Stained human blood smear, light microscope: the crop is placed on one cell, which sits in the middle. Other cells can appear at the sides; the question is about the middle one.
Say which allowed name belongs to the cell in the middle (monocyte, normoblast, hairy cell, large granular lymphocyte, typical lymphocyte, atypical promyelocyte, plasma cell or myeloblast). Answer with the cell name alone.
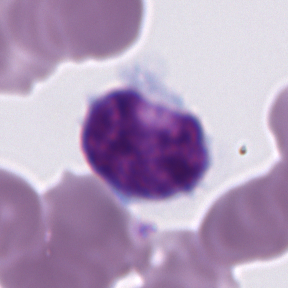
hairy cell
